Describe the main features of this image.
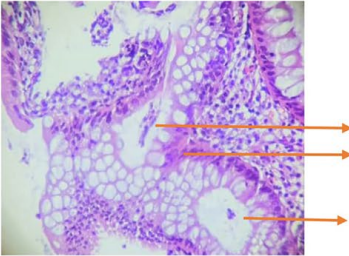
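This is colonic mucosa at higher magnification, showing crypts and the surrounding lamina propria. The crypt epithelium includes many goblet cells, seen as rounded, pale, clear cytoplasmic spaces with their nuclei pushed to the base, which gives parts of the crypts a honeycomb look. Between and around the crypts, the lamina propria is crowded with small cells whose nuclei stain dark purple, marking a dense inflammatory cell infiltrate. Pale, open spaces within and beside the crypts hold scattered loose cells.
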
